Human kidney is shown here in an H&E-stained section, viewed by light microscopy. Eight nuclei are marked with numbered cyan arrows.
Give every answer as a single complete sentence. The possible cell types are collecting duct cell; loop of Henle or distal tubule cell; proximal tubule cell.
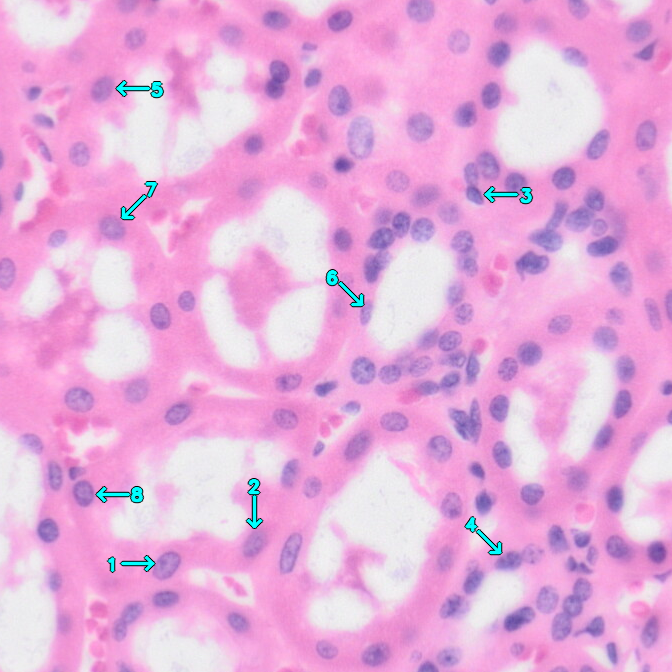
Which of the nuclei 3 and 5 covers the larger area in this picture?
The larger nucleus is 5, at roughly 2 times the area of 3.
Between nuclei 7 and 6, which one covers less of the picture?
Nucleus 6 covers less area, with nucleus 7 about 2 times as large.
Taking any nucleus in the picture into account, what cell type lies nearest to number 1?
The nucleus nearest to number 1 is that of a collecting duct cell.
